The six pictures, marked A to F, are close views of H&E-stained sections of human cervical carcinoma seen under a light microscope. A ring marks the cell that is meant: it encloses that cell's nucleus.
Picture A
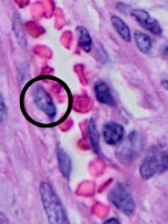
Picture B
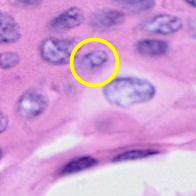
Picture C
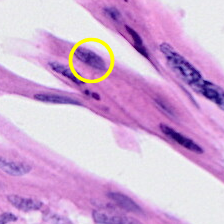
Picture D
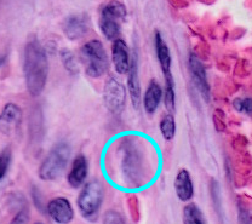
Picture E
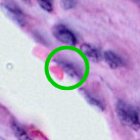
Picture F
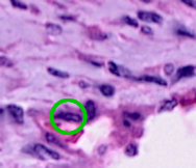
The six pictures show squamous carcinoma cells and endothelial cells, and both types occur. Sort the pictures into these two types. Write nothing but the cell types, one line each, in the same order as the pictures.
endothelial cell
squamous carcinoma cell
squamous carcinoma cell
endothelial cell
endothelial cell
endothelial cell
